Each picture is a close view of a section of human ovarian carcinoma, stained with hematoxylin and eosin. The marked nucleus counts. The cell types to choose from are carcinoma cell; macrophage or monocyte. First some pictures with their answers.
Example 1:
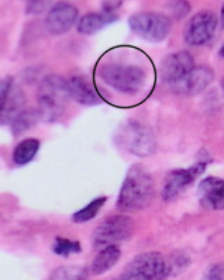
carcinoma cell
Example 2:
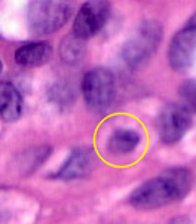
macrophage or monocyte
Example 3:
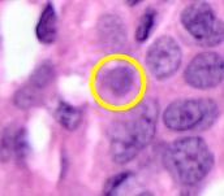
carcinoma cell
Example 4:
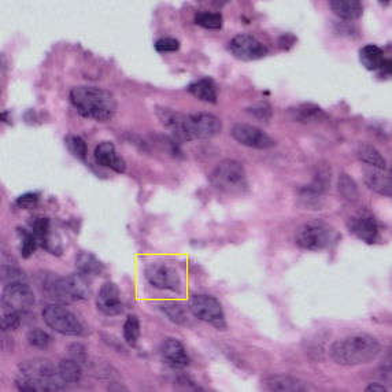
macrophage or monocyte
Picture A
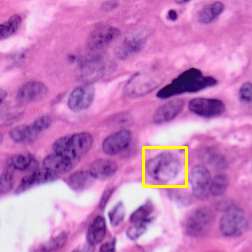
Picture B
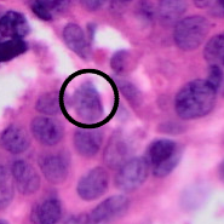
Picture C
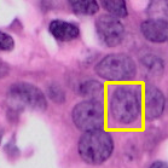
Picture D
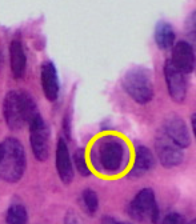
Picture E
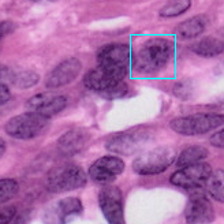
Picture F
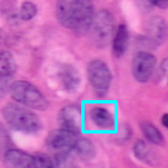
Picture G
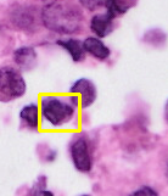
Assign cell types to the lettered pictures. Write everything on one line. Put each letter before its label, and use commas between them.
A macrophage or monocyte, B carcinoma cell, C carcinoma cell, D carcinoma cell, E carcinoma cell, F macrophage or monocyte, G carcinoma cell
